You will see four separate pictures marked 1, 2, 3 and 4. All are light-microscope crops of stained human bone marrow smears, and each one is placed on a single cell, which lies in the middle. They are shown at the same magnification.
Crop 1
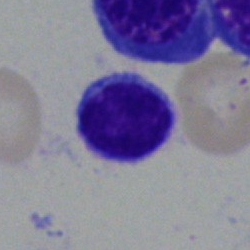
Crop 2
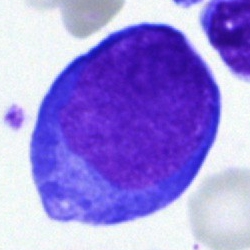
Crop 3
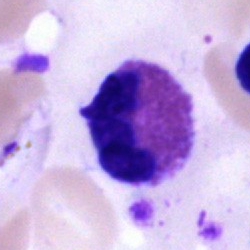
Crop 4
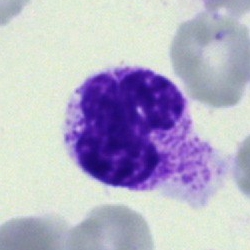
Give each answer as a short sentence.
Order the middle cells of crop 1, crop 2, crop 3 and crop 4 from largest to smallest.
Going down, they run 2, 4, 3, 1.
